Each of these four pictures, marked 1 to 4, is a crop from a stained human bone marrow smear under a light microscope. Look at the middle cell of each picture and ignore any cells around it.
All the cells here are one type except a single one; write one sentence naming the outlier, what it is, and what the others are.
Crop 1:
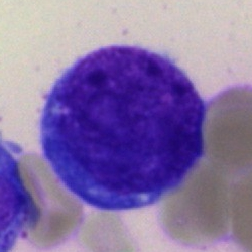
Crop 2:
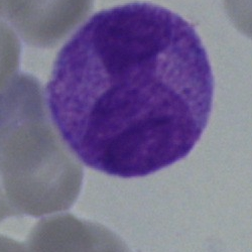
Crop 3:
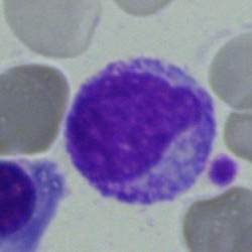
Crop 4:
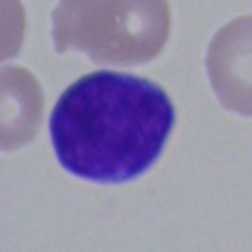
The cells centred in the other crops are all blasts, but crop 3 is a myelocyte.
